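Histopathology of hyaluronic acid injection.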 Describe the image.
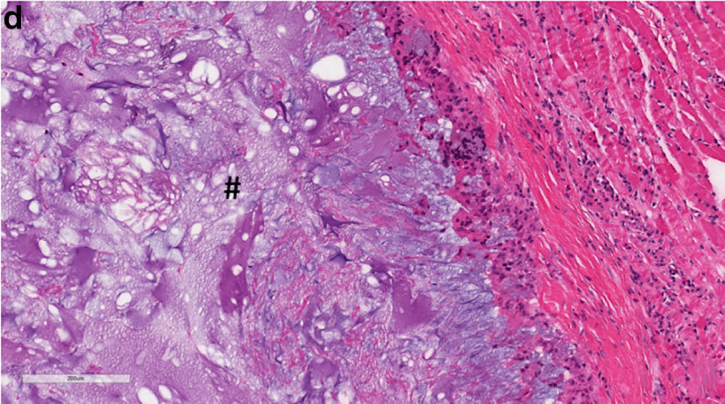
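Here a large deposit of pale violet, amorphous foreign material fills the left side of the field, with many small clear bubbles and a slightly granular, fibrillar texture. The material itself contains no nuclei. At its edge on the right lies a band of scattered dark nuclei belonging to cells that surround the deposit. Beyond this band is pink, wavy fibrous tissue with elongated nuclei running in parallel, forming a partial capsule. The contrast between the acellular violet material and the pink tissue around it is sharp.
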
